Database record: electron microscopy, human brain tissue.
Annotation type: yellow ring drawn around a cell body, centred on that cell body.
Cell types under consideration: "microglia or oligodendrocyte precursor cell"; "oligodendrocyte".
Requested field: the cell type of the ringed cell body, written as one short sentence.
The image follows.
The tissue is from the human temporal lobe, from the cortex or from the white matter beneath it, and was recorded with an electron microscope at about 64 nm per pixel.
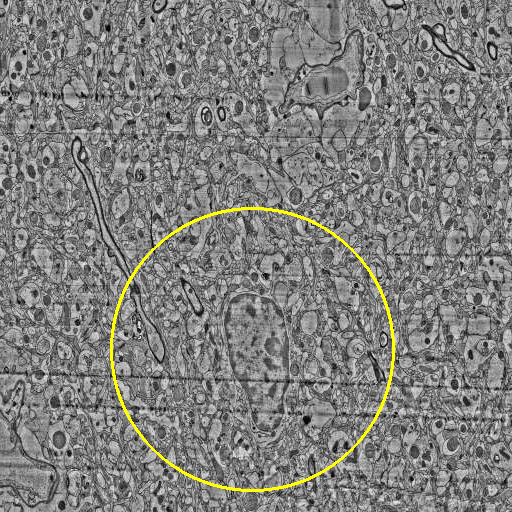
The ringed cell body represents a microglial cell or oligodendrocyte precursor cell.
